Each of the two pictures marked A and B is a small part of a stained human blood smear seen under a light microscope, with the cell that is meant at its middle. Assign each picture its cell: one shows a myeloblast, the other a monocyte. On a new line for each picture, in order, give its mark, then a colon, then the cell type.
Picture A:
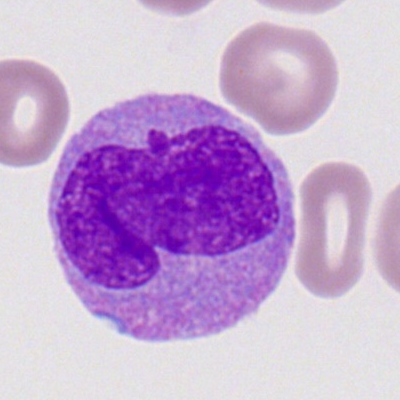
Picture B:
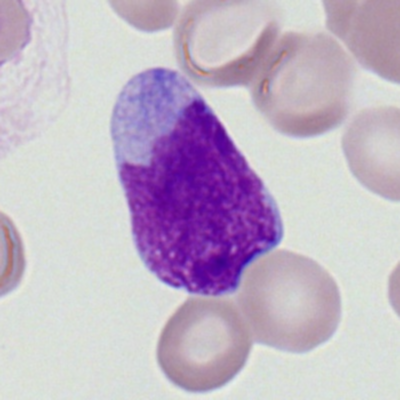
A: monocyte
B: myeloblast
